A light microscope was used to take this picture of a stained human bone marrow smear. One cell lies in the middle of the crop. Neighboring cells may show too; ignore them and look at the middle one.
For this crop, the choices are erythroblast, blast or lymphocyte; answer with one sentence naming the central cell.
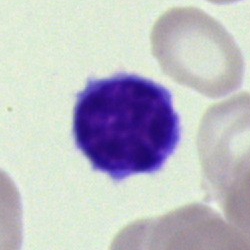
By classification, the middle cell of this crop is a lymphocyte.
